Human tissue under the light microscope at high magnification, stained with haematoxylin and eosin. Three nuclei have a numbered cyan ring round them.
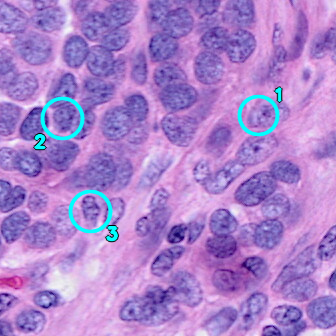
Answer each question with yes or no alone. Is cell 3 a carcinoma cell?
no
